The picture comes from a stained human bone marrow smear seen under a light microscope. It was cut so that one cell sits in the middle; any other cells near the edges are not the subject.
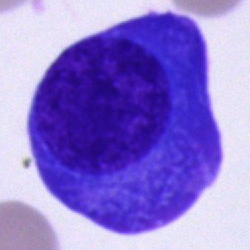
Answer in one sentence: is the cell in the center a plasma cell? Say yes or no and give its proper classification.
Yes, this is a plasma cell, the cell in the middle of the crop.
